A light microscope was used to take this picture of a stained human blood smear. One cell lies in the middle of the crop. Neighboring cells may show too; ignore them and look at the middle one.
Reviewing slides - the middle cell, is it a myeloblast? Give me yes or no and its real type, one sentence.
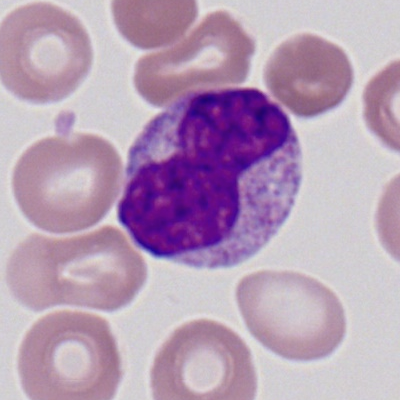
No, it is a monocyte, not a myeloblast, that lies at the centre of the crop.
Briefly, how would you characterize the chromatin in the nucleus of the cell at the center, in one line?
The nucleus shows chromatin that is coarsely clumped.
